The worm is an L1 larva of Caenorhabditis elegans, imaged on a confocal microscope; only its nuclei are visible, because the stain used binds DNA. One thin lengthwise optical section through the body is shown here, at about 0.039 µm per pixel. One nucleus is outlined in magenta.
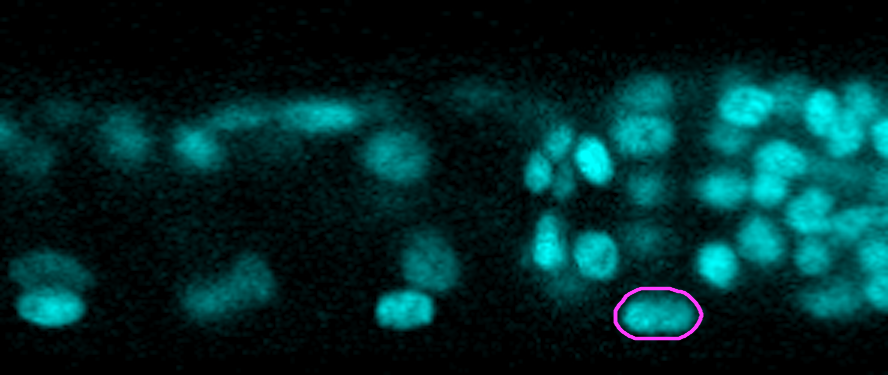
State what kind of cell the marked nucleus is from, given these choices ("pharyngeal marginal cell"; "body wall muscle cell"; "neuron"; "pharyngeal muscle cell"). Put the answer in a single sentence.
The marked nucleus is that of a body wall muscle cell.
